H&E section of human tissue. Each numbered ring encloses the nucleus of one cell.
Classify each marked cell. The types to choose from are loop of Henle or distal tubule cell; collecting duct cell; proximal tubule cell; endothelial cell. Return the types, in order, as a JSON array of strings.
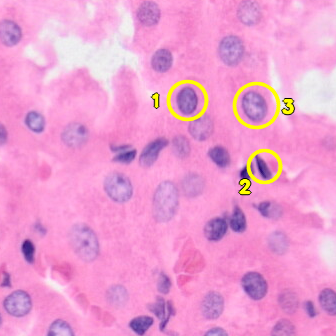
["proximal tubule cell", "endothelial cell", "proximal tubule cell"]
